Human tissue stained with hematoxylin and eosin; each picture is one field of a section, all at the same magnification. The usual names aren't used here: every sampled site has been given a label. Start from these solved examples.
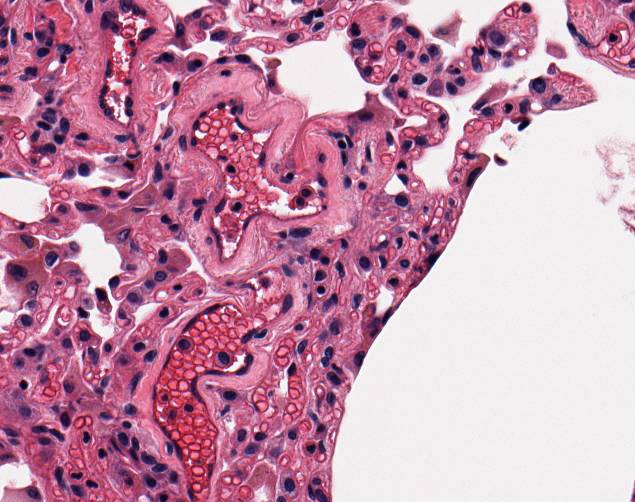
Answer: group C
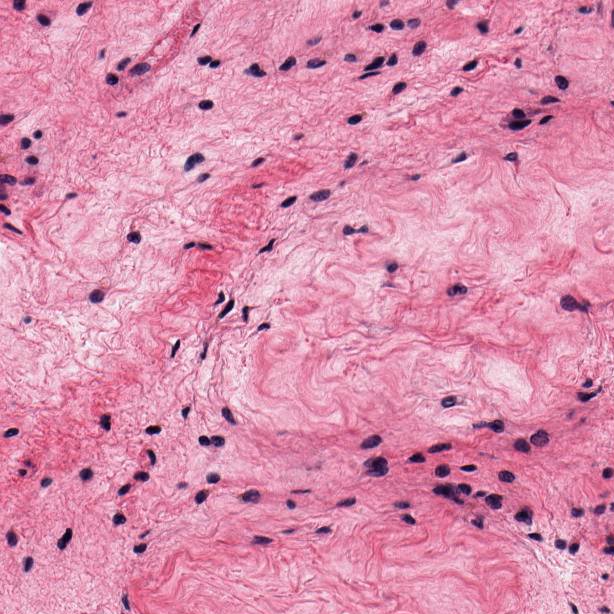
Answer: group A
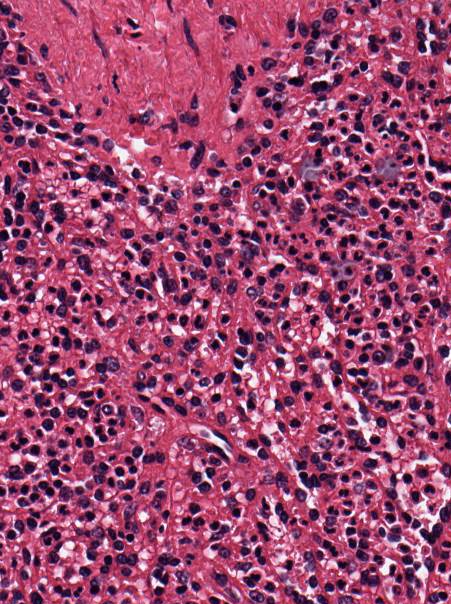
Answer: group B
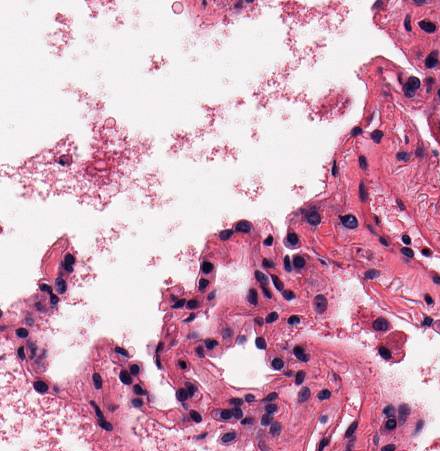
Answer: group C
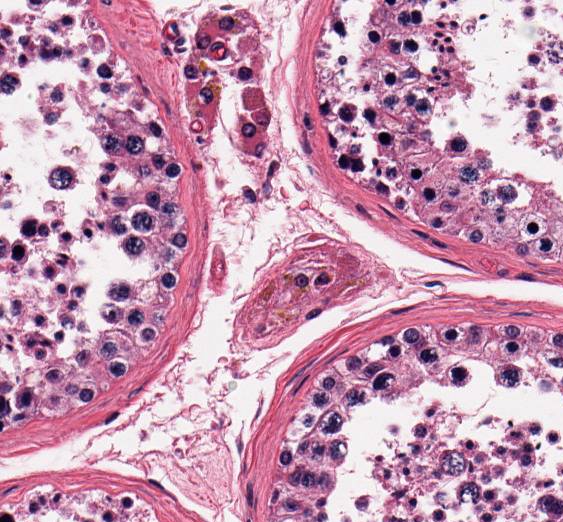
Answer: group A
